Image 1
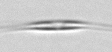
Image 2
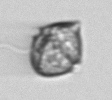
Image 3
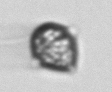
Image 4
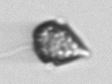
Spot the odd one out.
Picture 1 (Cylindrotheca among Scrippsiella).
